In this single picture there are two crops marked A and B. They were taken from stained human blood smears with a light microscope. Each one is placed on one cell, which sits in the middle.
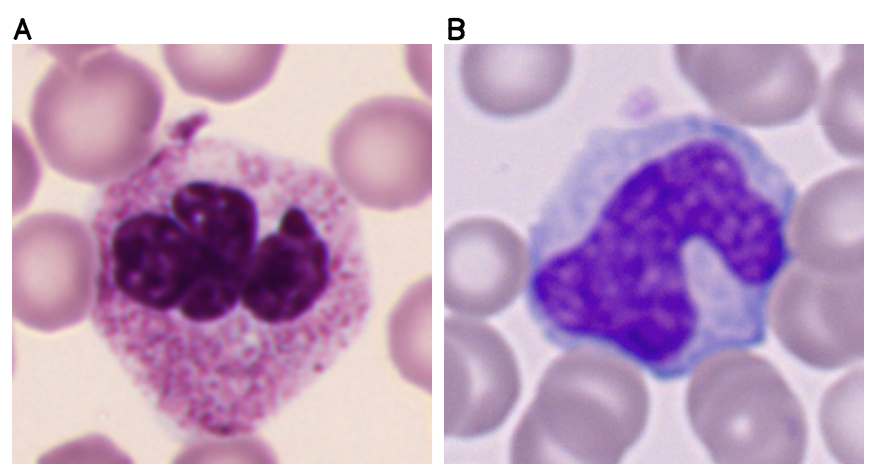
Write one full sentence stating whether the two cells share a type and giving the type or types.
No, within crop A lies a segmented neutrophil, and within crop B lies a monocyte.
